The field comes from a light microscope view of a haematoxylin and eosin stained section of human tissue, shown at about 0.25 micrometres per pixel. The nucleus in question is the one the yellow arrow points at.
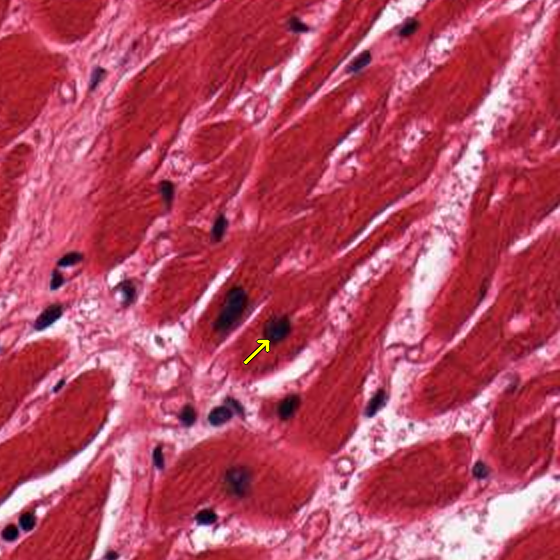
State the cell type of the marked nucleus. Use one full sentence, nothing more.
It is to a cardiomyocyte that the marked nucleus belongs.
